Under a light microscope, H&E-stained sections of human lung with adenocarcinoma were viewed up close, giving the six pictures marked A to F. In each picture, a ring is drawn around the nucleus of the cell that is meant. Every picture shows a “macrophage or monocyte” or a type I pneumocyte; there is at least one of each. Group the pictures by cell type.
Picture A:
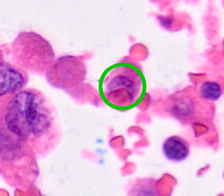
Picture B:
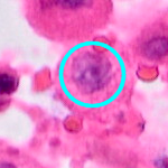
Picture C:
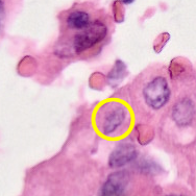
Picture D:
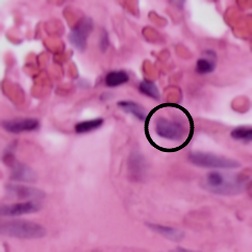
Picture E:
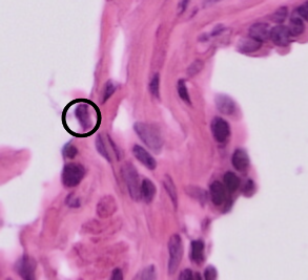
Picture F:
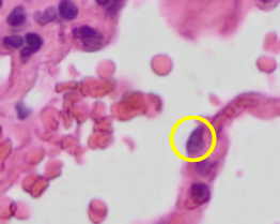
A: macrophage or monocyte
B: macrophage or monocyte
C: macrophage or monocyte
D: type I pneumocyte
E: type I pneumocyte
F: type I pneumocyte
